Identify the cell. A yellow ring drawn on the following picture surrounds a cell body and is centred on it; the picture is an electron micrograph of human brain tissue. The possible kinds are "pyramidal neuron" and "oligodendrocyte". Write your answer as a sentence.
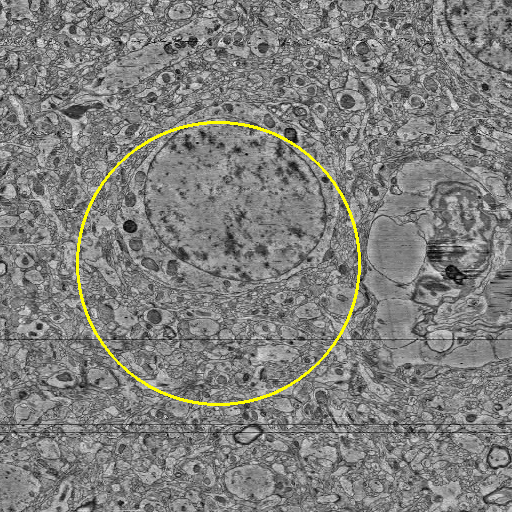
The cell identified by the ring is a pyramidal neuron.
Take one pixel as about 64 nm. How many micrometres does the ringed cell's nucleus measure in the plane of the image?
About 11 micrometres across in this plane.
